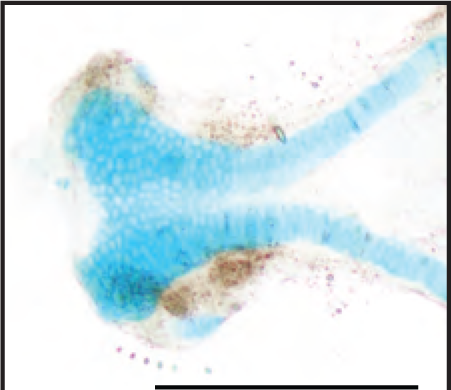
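Flat-mounted ethmoid plate: a broad blue-stained cartilage sheet that flares anteriorly into a fan with lateral wings and narrows posteriorly into two diverging rods. The plate is made of tightly packed small cartilage cells; scattered brown pigment lies along its lateral edges.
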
